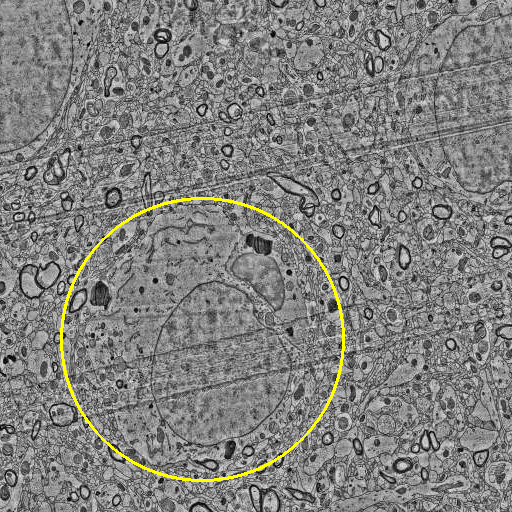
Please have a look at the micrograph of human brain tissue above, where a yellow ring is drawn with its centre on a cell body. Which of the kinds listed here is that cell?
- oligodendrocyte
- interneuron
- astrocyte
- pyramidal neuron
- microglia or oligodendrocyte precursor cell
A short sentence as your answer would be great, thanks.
At the centre of the ring sits a pyramidal neuron.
